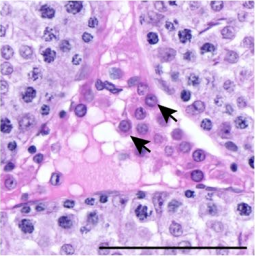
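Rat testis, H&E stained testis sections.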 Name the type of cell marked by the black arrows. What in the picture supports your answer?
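Interstitial Leydig cells. The arrowed cells lie in the interstitial space between tubules. They have round nuclei and pink cytoplasm.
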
